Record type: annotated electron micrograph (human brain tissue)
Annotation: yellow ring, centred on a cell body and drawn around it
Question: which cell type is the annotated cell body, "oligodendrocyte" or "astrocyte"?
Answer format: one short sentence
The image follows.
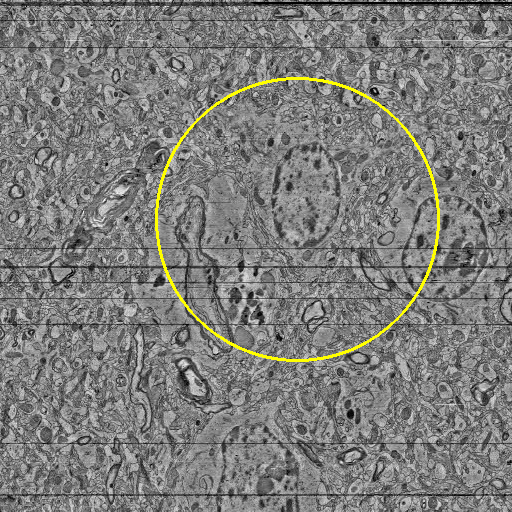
The annotated cell body is that of an astrocyte.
